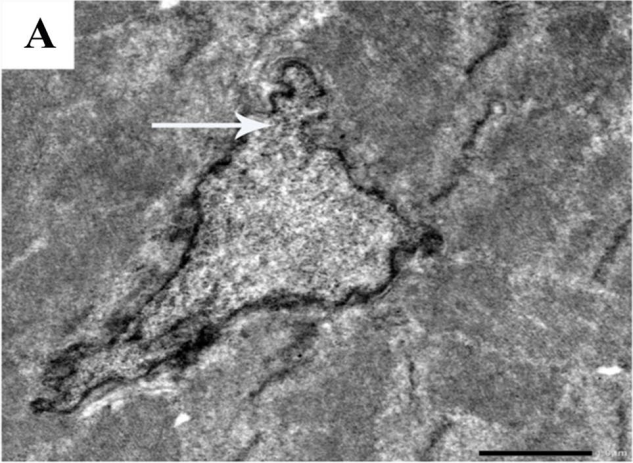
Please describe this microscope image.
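This electron micrograph of muscle shows a nucleus lying among the myofibrils. The nucleus is pale and finely granular, with an angular, irregular outline rather than a smooth oval. Its bounding envelope is dark, uneven and folded, and at the top it forms a crumpled bulge. The surrounding fibre looks blurred, with its filaments and cross bands hard to follow.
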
